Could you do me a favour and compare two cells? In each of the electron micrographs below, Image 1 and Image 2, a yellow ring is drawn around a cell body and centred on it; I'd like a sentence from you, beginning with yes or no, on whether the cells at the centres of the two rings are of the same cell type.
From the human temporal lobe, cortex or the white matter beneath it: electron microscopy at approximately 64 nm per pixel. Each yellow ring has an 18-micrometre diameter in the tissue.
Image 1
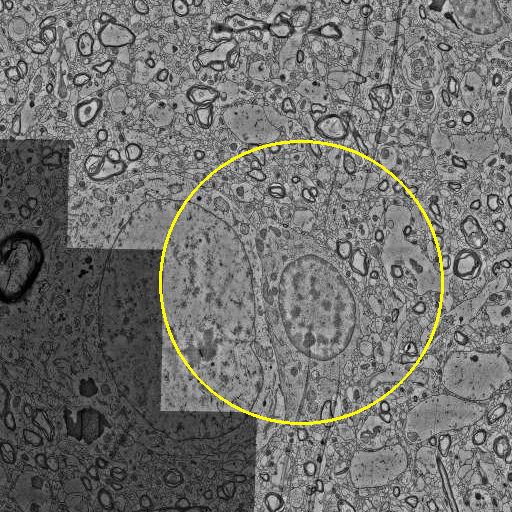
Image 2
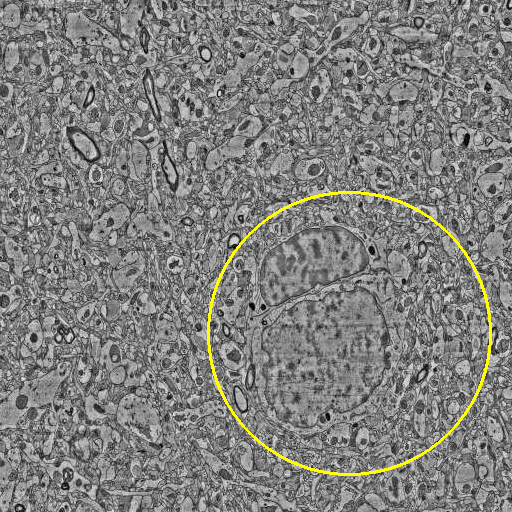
No, the two cells are of two cell types.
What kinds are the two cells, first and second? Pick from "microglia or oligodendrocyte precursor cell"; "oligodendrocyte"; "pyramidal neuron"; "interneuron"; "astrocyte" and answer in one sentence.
The second picture holds an interneuron in its ring, and the first holds an oligodendrocyte.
